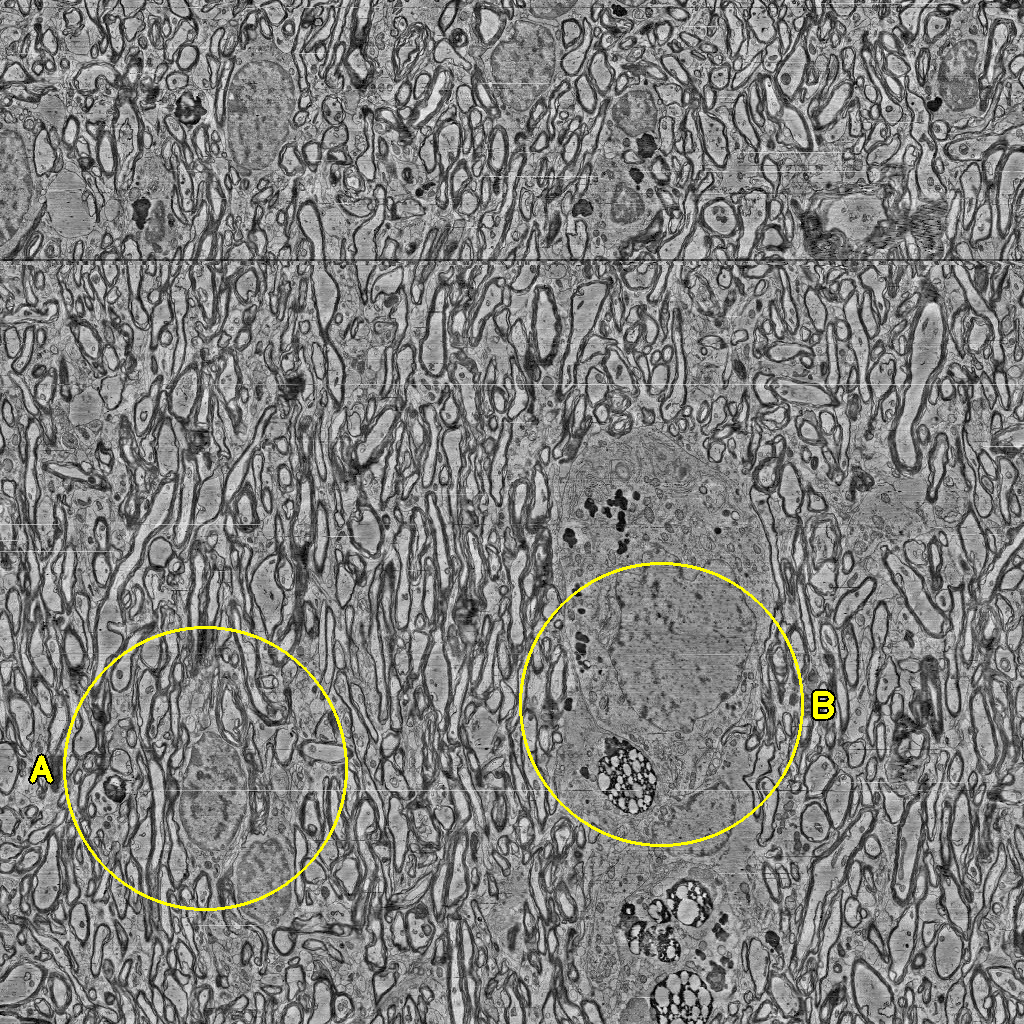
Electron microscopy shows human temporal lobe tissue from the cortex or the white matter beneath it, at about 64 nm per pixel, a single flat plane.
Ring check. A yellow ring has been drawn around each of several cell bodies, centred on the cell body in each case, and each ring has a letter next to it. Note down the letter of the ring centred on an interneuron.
B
